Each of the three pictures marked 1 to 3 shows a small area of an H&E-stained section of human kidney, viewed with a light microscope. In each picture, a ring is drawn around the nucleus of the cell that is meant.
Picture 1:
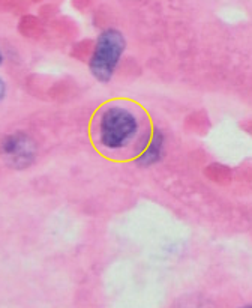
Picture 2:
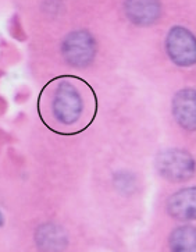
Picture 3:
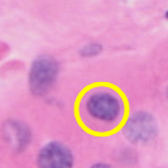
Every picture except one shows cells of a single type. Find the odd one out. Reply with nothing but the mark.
3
